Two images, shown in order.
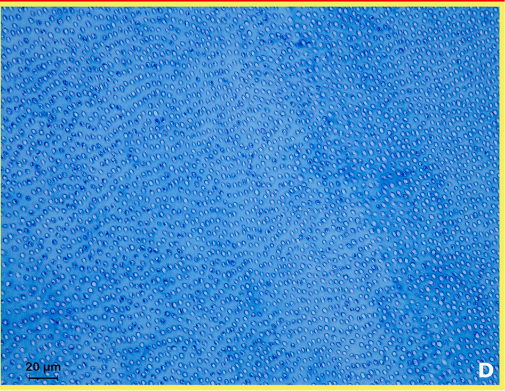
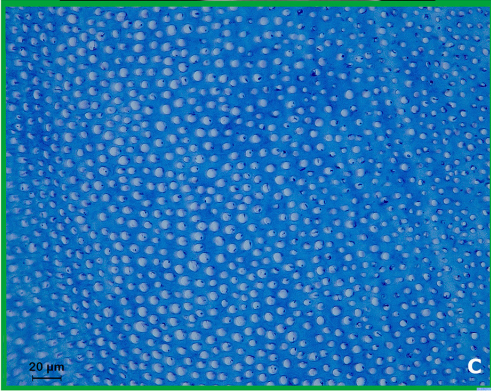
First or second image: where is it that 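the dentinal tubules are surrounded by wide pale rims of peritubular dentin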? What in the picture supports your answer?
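First image: small tubule openings sit in dense blue matrix without wide pale rims.
Conclusion: the second image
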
